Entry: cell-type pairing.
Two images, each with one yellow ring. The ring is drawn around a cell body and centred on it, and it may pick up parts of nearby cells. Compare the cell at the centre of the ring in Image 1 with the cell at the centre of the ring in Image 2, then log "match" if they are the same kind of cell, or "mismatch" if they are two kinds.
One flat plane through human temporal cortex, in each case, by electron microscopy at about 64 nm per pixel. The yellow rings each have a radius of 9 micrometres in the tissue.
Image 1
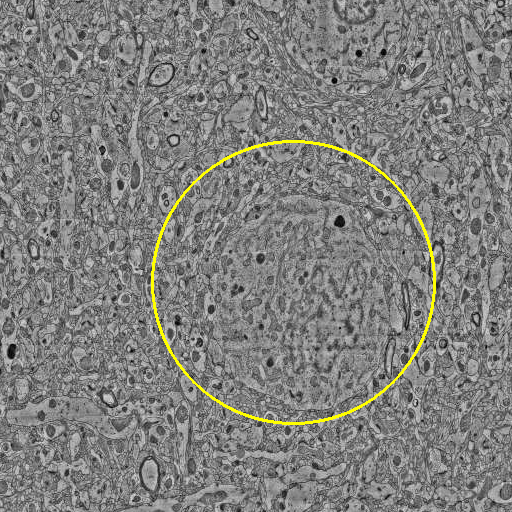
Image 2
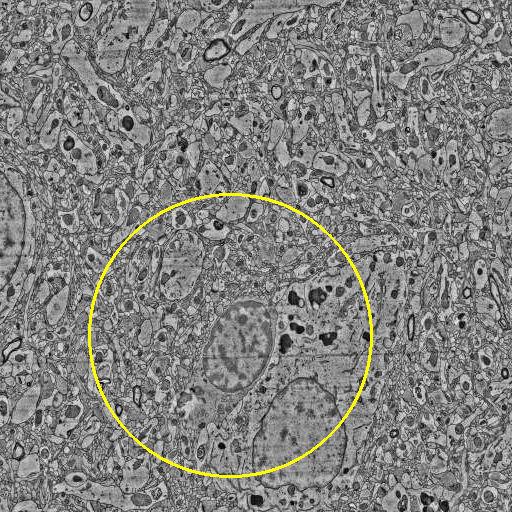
mismatch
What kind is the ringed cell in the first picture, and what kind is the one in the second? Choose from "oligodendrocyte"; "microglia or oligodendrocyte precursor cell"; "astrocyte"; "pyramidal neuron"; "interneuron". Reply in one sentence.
The first cell is an interneuron; the second is an oligodendrocyte.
